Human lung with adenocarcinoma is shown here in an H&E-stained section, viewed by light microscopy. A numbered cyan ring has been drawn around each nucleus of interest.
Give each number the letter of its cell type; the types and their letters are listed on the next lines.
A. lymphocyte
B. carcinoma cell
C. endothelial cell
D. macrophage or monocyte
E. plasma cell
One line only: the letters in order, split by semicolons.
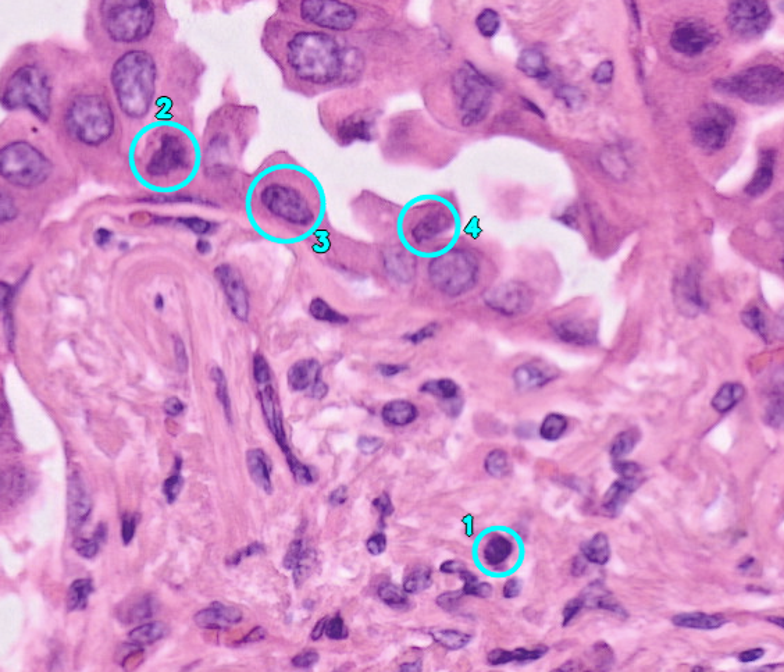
E; B; B; B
